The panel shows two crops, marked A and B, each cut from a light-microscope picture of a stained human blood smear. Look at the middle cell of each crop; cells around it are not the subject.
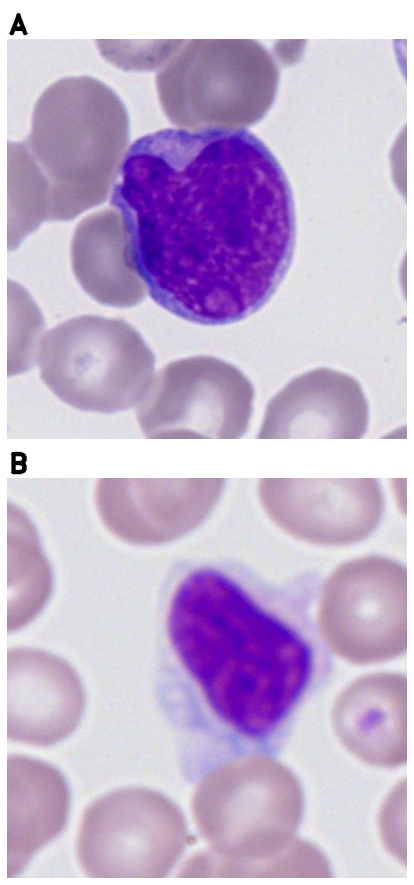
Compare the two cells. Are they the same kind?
no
